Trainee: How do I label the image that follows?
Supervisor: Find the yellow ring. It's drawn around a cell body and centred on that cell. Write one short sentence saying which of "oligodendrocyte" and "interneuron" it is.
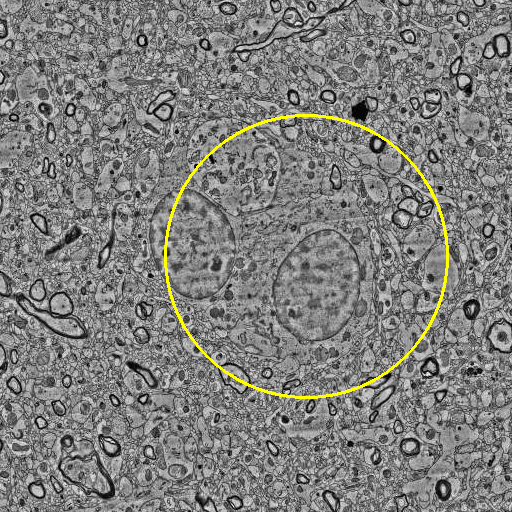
This is the cell body of an oligodendrocyte.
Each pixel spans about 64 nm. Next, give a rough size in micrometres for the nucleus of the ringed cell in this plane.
In this plane the nucleus measures roughly 7 by 6 micrometres.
